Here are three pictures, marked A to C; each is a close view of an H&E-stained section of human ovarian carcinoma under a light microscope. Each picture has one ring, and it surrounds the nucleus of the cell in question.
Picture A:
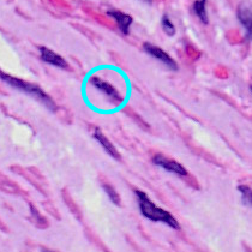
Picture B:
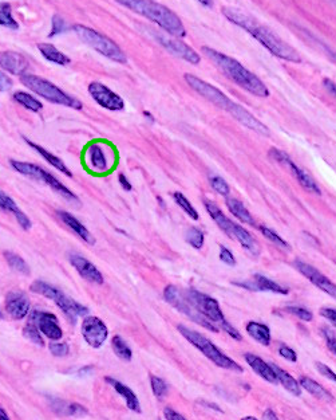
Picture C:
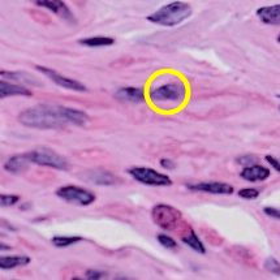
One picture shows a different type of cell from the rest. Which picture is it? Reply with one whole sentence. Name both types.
The others show smooth muscle cells, but picture A shows a fibroblast.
